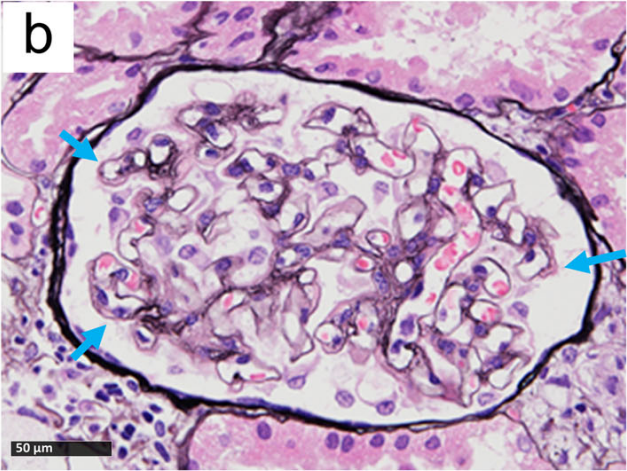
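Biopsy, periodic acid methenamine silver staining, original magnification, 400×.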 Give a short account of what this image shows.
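Kidney glomerulus with a thick black-stained Bowman's capsule, surrounded by tubules with pink cytoplasm. Lumens are open and contain red blood cells. Nuclei are dark purple, scattered through the lobule centres and along loops. Bowman's space is wide and clear. The split walls are best seen in the peripheral loops around the tuft.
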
